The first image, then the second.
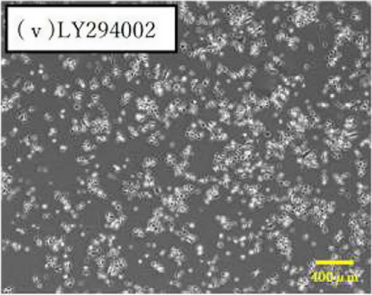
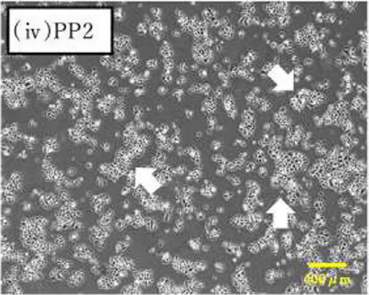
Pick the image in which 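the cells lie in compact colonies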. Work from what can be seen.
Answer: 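The second image. First image: cells are spread evenly and loosely across the field, mostly as small groups or single cells. Second image: cells are packed into large dense clusters separated by bare areas.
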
